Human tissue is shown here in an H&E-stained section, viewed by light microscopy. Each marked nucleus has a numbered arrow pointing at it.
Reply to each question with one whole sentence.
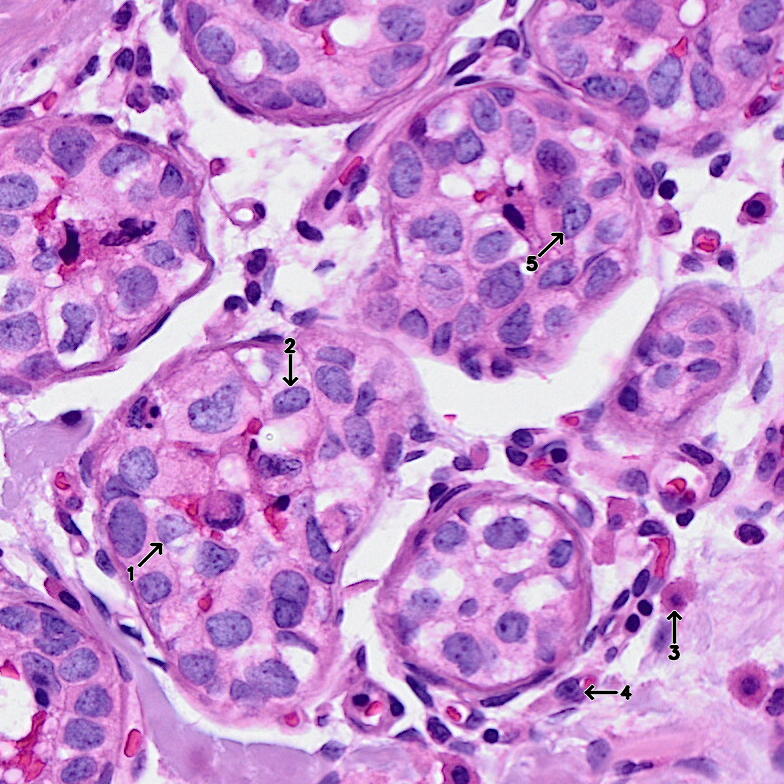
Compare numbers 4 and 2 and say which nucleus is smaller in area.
With nucleus 2 about 1.5 times its size, nucleus 4 is the smaller of the two.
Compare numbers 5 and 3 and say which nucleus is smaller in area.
It is nucleus 3; nucleus 5 has about 4 times its area.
